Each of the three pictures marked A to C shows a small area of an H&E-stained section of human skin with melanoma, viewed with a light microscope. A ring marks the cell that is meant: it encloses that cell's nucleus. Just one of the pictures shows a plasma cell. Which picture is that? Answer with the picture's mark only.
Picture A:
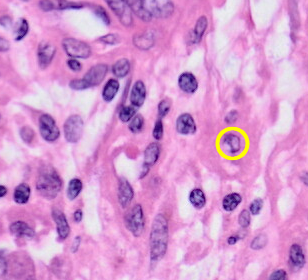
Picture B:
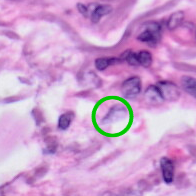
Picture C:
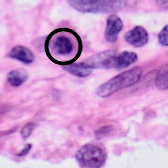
C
